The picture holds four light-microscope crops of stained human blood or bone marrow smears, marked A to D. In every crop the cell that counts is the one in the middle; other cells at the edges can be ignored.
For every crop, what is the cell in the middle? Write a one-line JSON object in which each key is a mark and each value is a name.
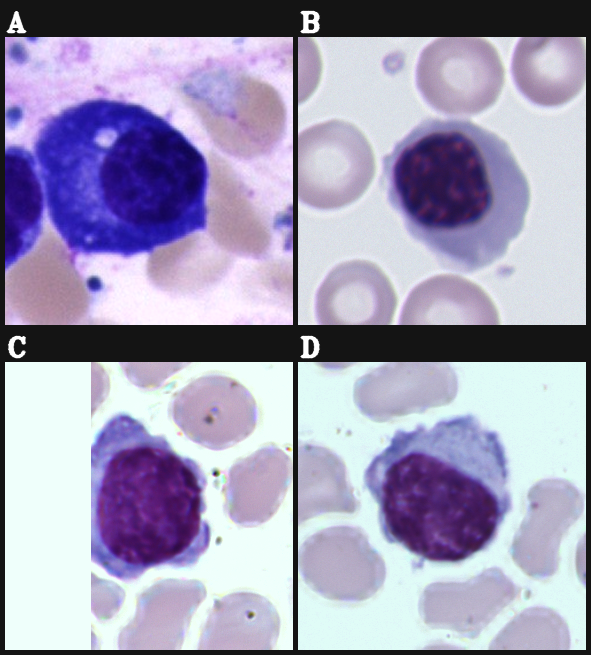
{"A": "plasma cell", "B": "normoblast", "C": "plasma cell", "D": "plasma cell"}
